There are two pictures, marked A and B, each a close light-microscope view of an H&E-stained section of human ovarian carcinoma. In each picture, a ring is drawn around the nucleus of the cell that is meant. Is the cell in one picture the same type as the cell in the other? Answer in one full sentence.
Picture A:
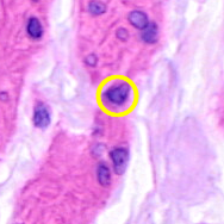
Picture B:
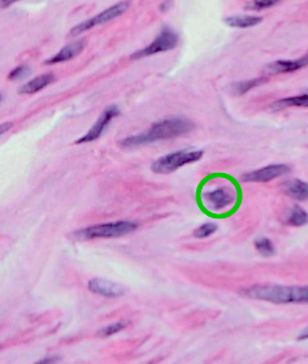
Yes, both are smooth muscle cells.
